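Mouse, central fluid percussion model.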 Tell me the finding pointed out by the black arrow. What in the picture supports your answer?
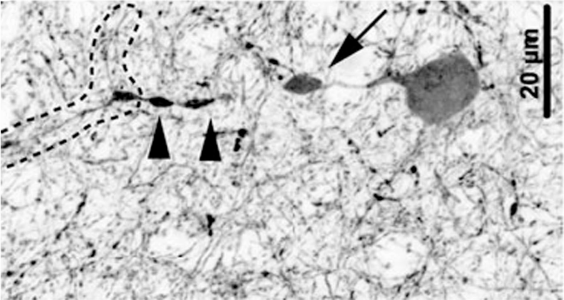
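The arrow points to a small dark oval swelling on a thin fibre close to a large cell body.
Perisomatic axonal varicosity.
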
